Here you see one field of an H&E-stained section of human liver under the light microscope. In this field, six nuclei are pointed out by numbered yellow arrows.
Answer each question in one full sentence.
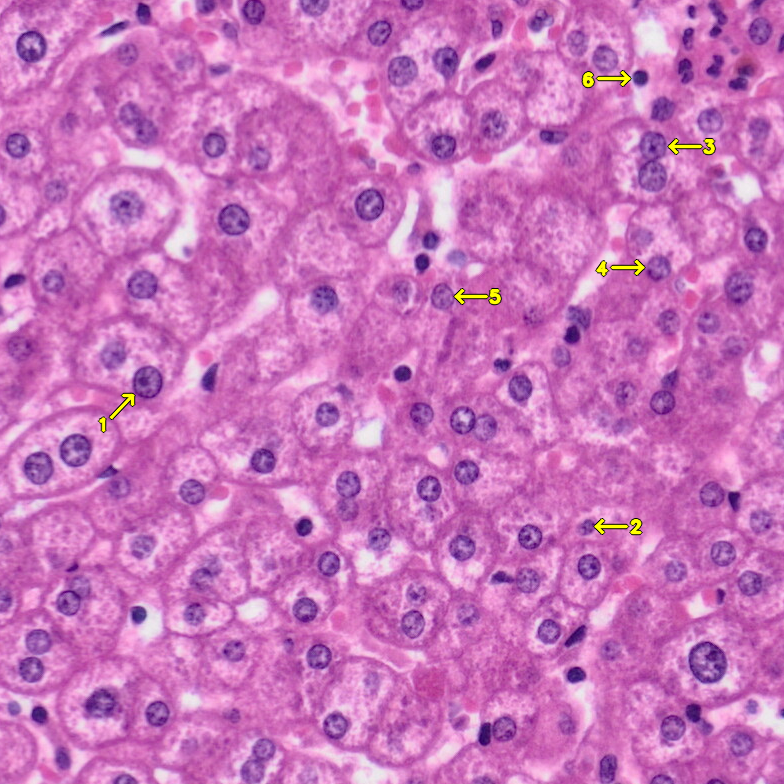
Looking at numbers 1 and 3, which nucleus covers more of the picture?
At about 1.5 times the area of nucleus 3, nucleus 1 is the larger of the two.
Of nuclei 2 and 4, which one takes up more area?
At about 2 times the area of nucleus 2, nucleus 4 is the larger of the two.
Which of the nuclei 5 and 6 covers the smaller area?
Number 6 is smaller, since number 5 takes up about 2 times as much area.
